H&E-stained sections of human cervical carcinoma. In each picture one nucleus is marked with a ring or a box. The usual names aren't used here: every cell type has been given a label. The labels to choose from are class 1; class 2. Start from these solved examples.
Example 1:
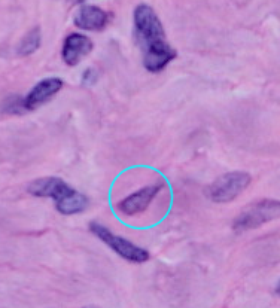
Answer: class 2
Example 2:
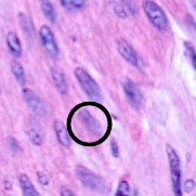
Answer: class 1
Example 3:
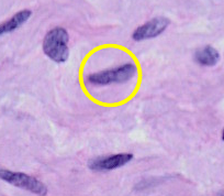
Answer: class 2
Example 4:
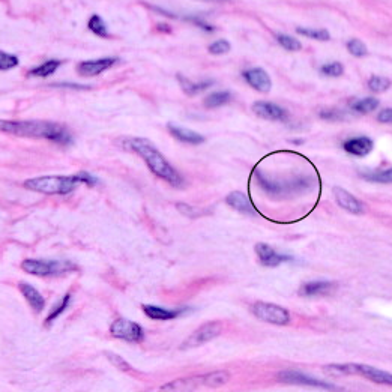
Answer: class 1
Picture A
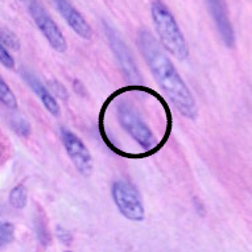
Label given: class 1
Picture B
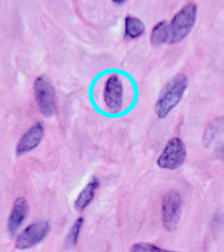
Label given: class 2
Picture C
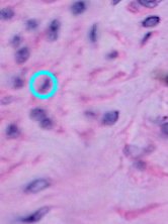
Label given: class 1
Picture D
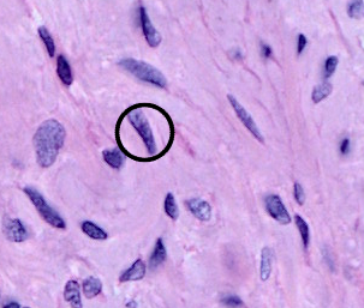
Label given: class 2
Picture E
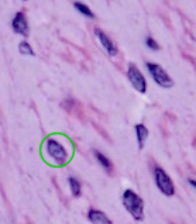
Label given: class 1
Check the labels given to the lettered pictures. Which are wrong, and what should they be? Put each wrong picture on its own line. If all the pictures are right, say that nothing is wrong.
None of the labels needs changing.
